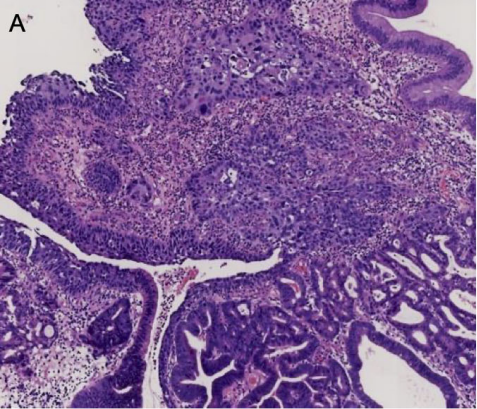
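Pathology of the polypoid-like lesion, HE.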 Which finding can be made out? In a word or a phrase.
Adenocarcinoma and squamous cell carcinoma.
